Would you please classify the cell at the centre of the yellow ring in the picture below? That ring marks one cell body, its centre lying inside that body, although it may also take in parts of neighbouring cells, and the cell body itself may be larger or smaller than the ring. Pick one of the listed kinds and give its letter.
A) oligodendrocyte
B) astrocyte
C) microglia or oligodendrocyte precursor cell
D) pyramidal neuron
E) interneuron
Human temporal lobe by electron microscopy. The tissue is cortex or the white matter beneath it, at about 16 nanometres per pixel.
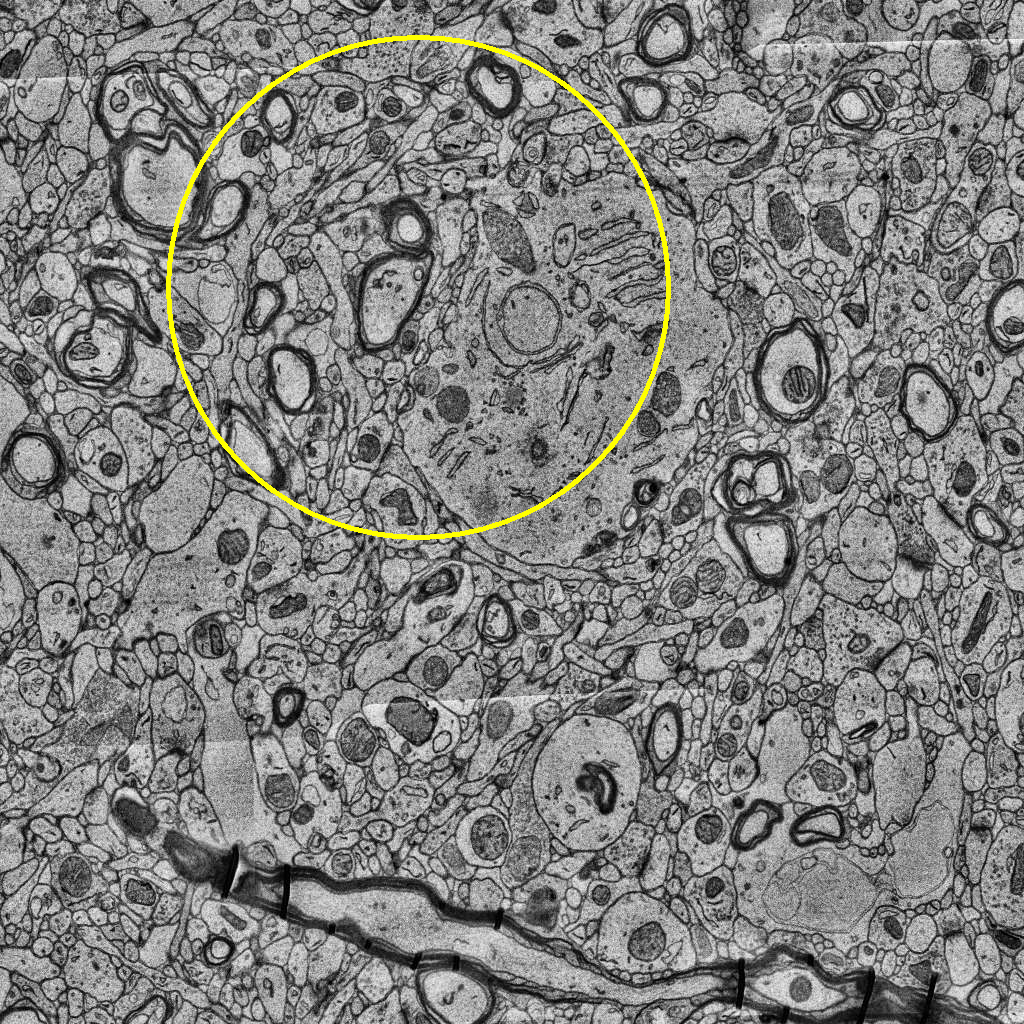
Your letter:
C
